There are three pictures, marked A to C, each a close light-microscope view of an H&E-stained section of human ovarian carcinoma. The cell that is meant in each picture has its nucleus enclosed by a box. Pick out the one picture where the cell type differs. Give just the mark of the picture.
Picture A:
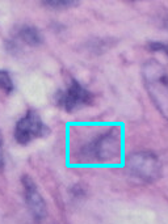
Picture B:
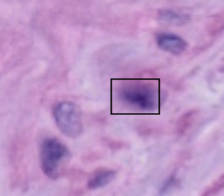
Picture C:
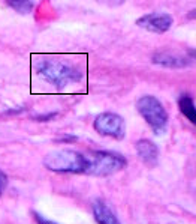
B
